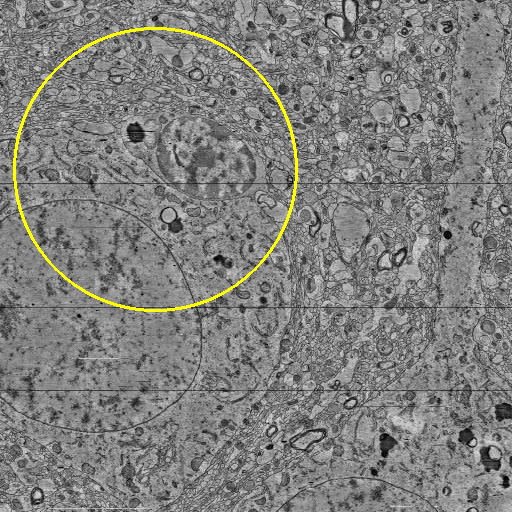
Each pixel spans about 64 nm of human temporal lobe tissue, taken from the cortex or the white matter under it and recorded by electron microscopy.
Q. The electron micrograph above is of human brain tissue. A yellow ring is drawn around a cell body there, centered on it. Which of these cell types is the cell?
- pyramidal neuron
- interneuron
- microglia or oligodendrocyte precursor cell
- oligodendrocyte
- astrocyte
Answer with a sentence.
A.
The cell under the ring's center is an oligodendrocyte.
